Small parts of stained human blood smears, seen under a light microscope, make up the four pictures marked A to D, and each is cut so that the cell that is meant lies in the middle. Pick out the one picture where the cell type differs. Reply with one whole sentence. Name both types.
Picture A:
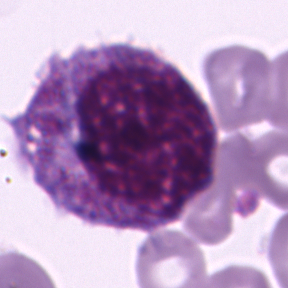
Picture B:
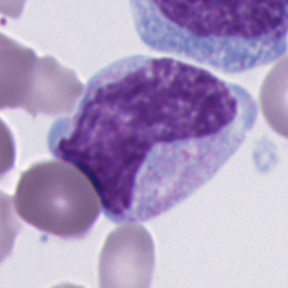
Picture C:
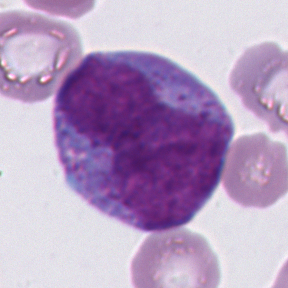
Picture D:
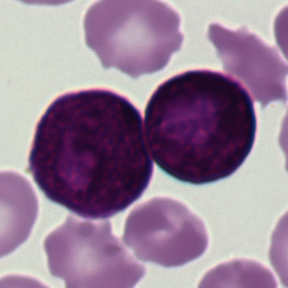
The others show promyelocytes, but picture D shows a myeloblast.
